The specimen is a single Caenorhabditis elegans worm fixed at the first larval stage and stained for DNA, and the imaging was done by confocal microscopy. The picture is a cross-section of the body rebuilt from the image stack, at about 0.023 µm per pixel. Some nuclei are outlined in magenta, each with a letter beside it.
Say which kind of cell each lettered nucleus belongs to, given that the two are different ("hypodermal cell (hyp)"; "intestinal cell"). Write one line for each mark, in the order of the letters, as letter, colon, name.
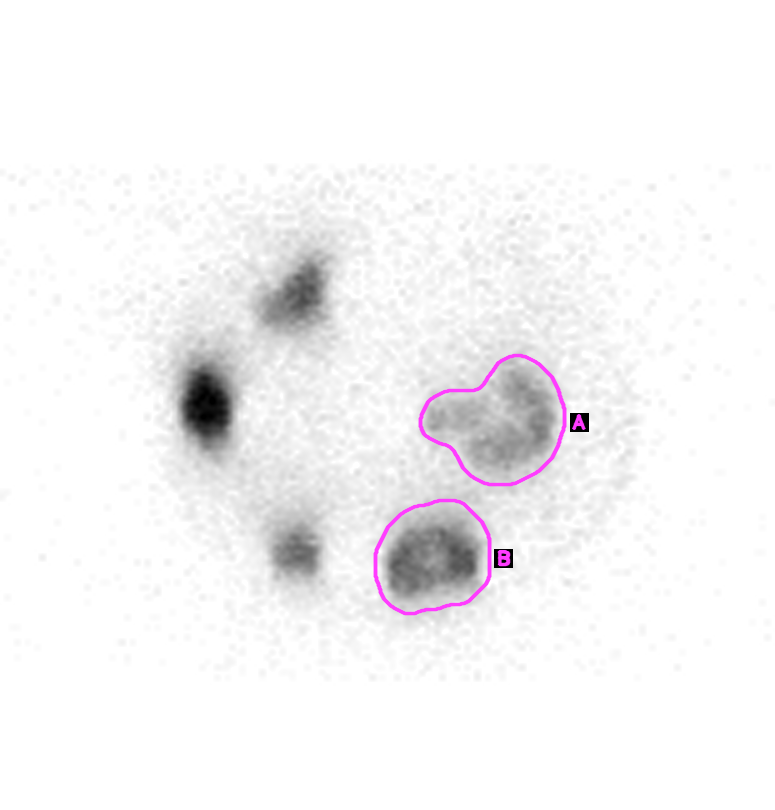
A: intestinal cell
B: hypodermal cell (hyp)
